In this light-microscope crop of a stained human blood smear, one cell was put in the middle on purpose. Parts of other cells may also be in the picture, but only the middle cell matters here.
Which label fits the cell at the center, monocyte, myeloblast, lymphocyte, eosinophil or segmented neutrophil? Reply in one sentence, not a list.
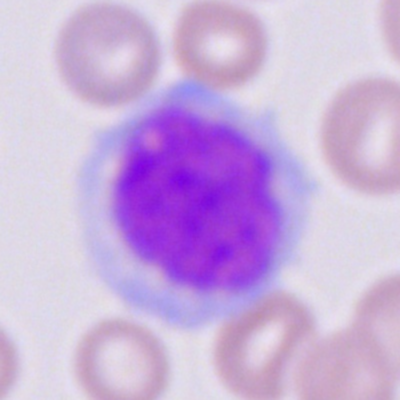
Here the centrally located cell is a monocyte.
